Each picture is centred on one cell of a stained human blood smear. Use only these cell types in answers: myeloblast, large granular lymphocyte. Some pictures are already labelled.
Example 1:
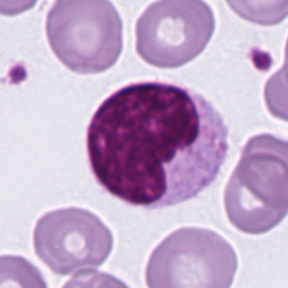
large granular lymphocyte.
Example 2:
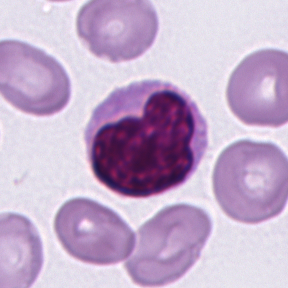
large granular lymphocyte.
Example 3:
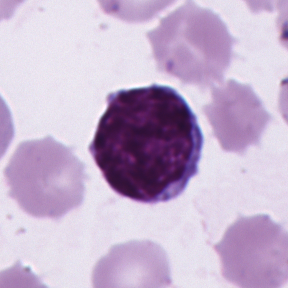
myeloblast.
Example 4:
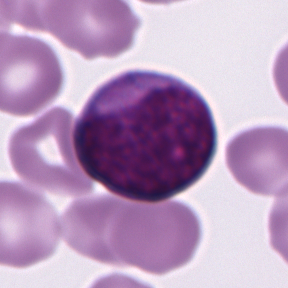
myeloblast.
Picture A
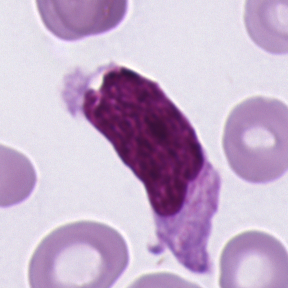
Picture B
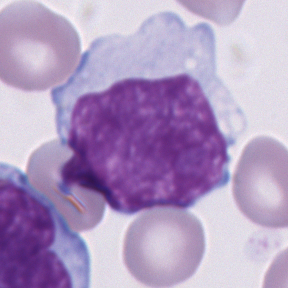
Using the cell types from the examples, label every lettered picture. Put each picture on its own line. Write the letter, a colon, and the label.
A: large granular lymphocyte.
B: myeloblast.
